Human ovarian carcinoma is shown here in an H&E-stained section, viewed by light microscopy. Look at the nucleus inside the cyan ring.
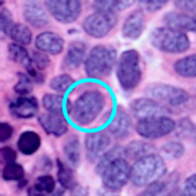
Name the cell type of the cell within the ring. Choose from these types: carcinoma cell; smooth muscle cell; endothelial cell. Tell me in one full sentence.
The cell type represented by the cell within the ring is that of a carcinoma cell.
